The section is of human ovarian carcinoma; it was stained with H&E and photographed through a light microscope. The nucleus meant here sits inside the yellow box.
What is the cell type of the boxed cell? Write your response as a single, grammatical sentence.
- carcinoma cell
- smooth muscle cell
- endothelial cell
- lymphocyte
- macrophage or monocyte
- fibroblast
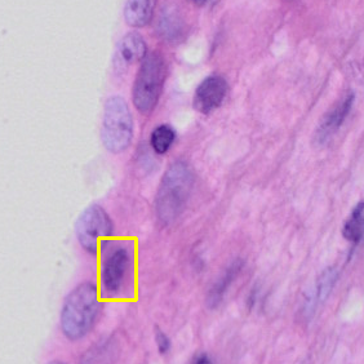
The classification of the boxed cell is as a macrophage or monocyte.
